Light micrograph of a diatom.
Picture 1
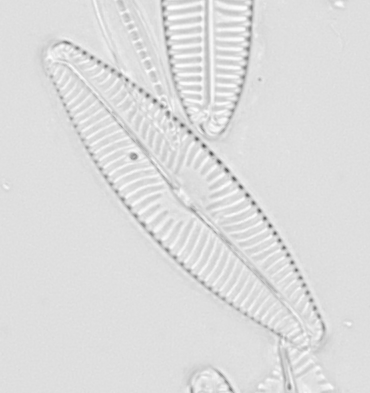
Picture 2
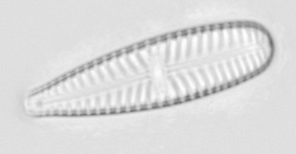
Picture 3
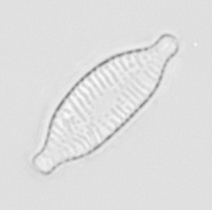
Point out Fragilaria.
That is picture 3.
